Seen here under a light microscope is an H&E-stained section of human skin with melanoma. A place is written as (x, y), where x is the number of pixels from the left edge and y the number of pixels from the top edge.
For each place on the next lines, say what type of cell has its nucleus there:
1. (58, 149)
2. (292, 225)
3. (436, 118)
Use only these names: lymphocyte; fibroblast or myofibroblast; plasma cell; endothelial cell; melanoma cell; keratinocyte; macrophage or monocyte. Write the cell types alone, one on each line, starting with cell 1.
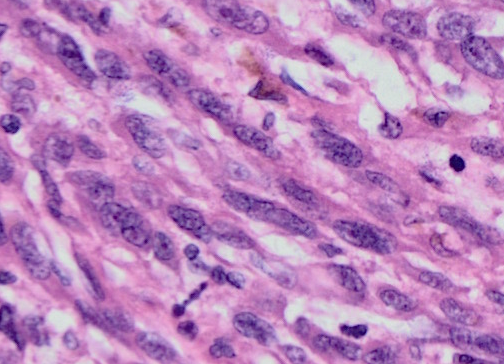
melanoma cell
melanoma cell
macrophage or monocyte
